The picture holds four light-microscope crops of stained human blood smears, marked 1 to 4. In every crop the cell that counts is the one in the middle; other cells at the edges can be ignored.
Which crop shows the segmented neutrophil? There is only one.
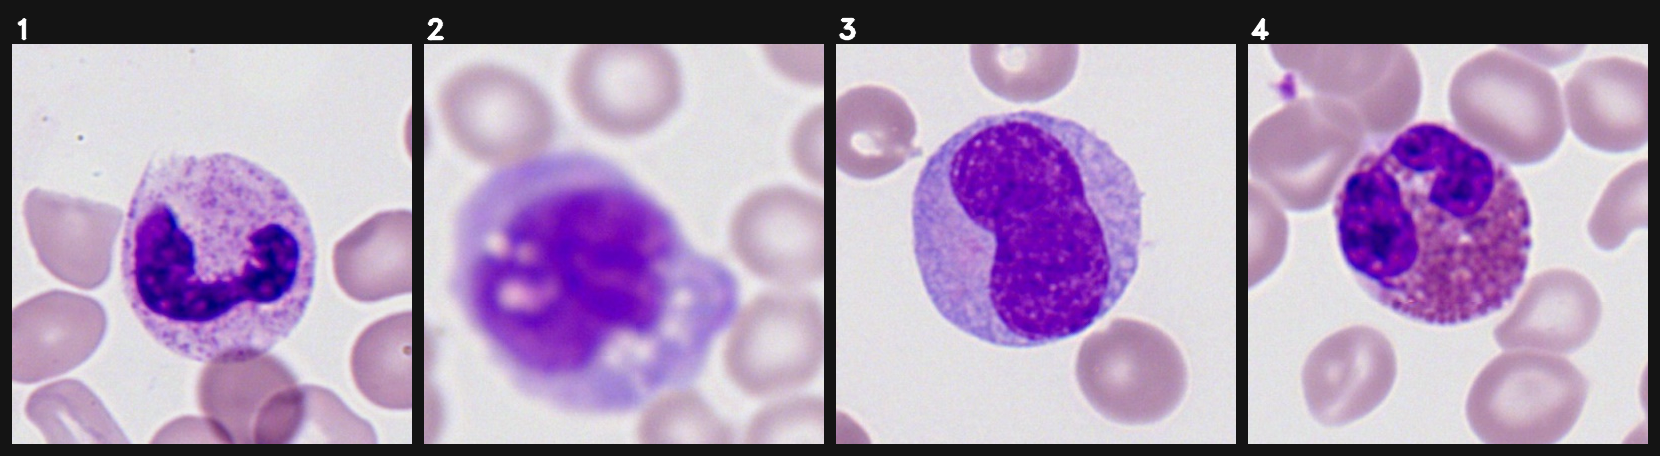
1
